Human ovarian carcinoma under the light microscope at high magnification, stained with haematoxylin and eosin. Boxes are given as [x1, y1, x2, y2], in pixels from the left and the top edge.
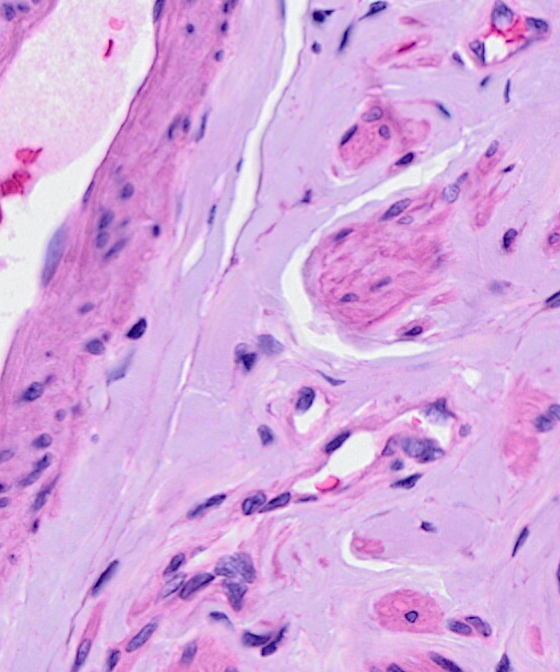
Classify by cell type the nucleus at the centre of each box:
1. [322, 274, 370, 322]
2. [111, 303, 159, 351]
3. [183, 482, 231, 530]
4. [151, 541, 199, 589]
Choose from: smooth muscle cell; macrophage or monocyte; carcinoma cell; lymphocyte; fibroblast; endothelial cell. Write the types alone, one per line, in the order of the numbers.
smooth muscle cell
lymphocyte
fibroblast
endothelial cell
